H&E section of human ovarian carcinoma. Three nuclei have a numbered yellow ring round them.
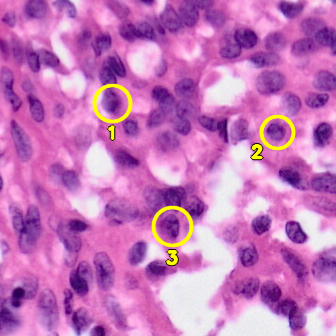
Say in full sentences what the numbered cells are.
Cell 1 is a carcinoma cell, cell 2 is a macrophage or monocyte and cell 3 is a carcinoma cell.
